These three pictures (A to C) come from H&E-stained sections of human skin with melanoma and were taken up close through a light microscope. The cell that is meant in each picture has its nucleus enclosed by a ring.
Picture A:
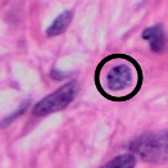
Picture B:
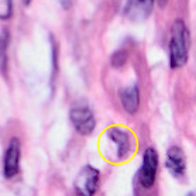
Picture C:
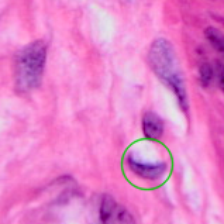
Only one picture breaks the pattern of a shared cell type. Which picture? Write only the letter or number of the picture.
A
